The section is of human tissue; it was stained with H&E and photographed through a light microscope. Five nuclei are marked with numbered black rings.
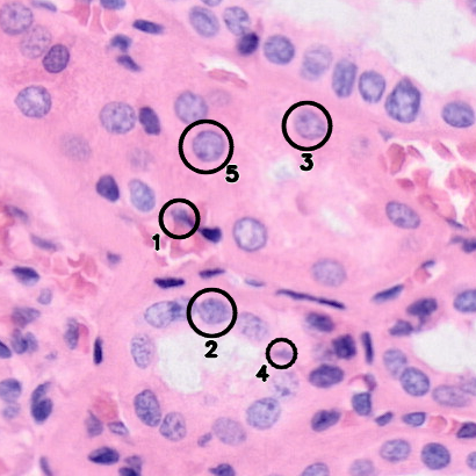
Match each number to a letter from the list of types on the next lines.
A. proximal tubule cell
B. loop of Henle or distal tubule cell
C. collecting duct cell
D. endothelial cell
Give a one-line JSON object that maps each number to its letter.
{"1": "D", "2": "C", "3": "A", "4": "C", "5": "A"}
